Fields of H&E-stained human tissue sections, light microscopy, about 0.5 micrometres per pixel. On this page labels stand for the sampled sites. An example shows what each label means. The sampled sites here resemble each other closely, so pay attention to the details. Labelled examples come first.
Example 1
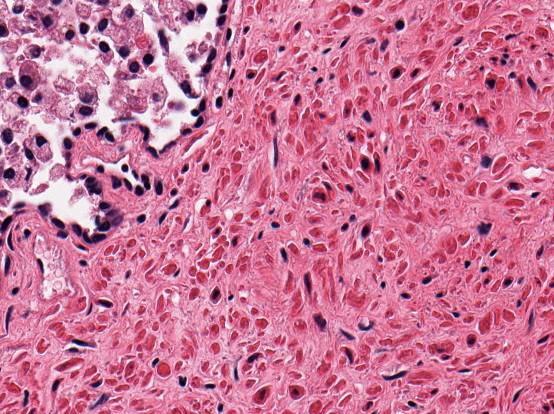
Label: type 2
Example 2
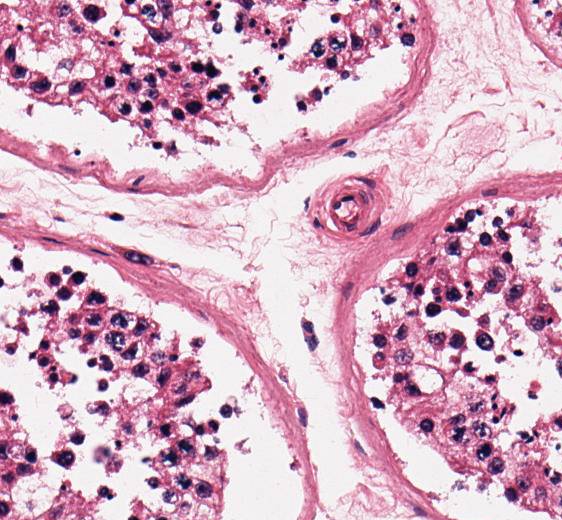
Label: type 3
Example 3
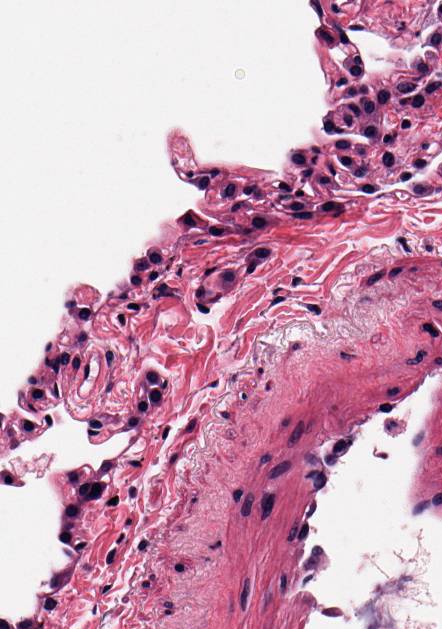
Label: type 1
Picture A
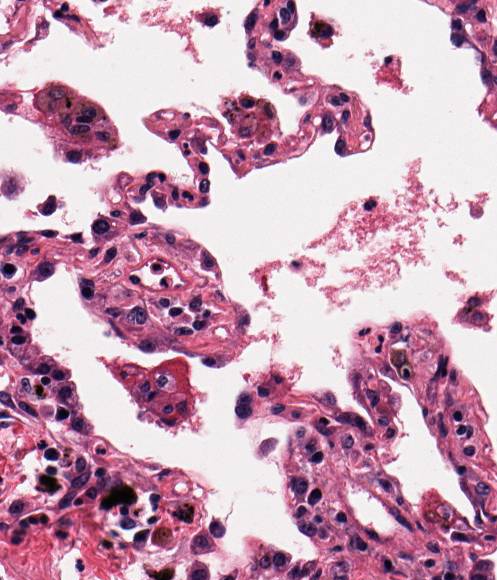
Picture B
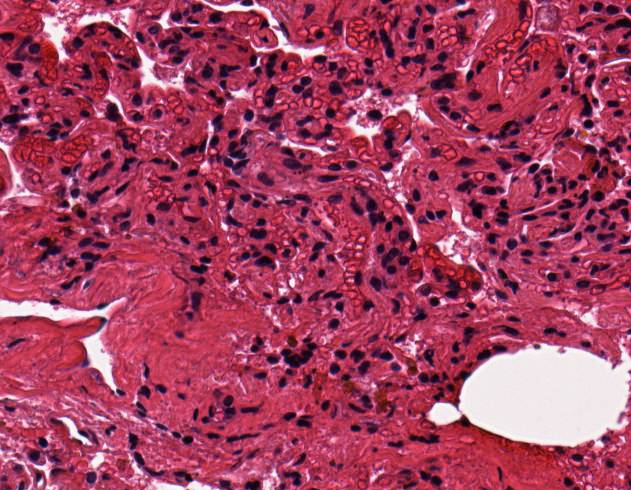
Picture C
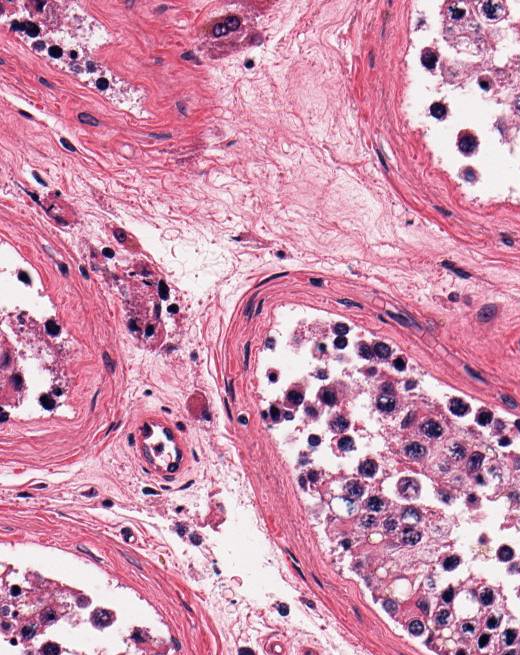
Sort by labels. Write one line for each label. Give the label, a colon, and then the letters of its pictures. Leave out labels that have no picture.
type 3: C
type 1: A, B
